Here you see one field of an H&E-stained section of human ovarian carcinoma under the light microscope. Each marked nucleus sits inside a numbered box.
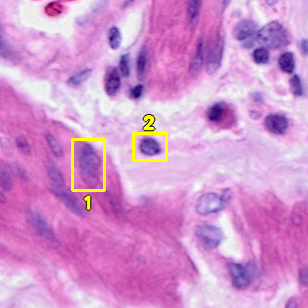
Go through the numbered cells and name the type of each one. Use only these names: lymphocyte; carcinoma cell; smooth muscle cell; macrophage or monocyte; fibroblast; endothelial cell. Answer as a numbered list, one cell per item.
1. smooth muscle cell
2. lymphocyte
